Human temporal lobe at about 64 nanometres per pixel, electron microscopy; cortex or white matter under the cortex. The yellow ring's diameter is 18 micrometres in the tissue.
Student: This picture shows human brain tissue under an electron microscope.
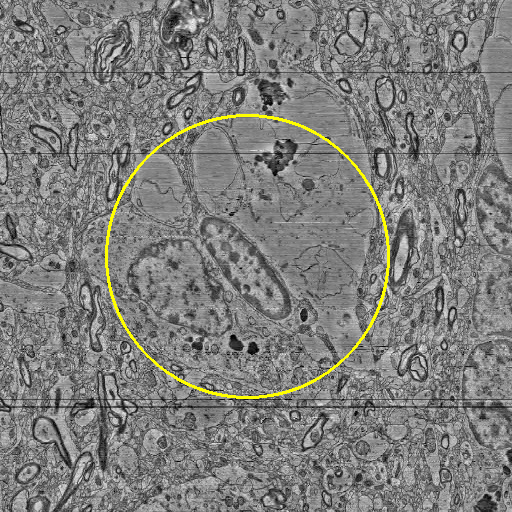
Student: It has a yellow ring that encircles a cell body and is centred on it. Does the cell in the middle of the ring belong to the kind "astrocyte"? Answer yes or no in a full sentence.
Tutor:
No, the cell in the middle of the ring in this picture is of another kind.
